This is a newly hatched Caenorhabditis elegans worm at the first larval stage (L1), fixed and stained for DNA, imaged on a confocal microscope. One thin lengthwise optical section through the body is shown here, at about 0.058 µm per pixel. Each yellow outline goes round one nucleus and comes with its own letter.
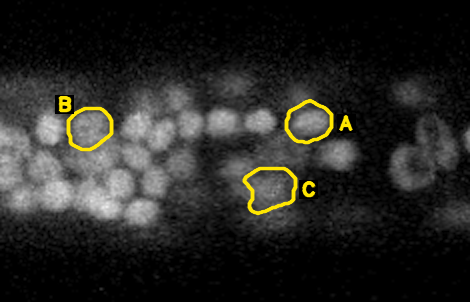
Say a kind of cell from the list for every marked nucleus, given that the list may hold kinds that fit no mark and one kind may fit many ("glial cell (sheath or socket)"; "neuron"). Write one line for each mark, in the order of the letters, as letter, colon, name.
A: neuron
B: neuron
C: glial cell (sheath or socket)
